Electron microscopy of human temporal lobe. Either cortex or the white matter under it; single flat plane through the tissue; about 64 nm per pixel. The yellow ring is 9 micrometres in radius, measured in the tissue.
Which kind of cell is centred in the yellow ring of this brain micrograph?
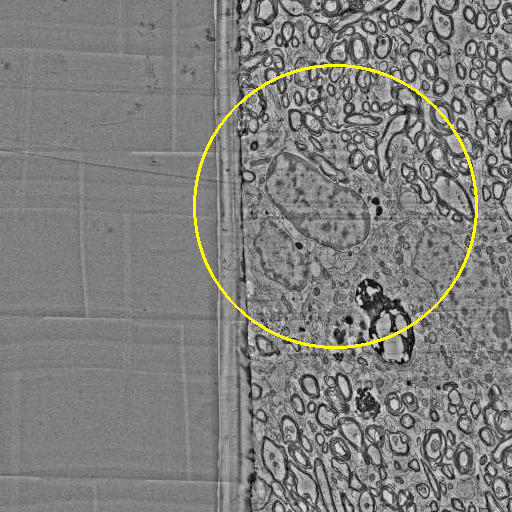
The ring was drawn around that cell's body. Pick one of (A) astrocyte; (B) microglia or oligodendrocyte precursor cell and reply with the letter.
B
